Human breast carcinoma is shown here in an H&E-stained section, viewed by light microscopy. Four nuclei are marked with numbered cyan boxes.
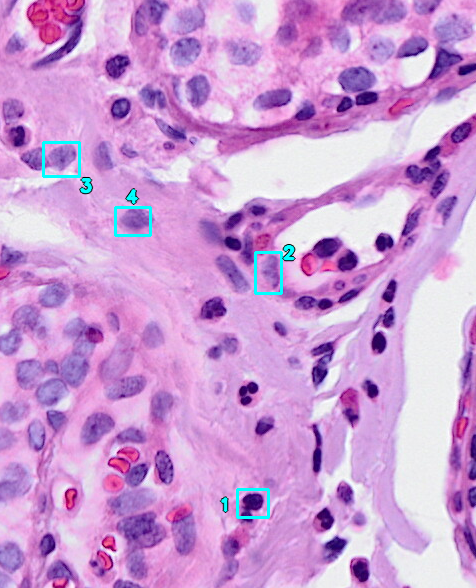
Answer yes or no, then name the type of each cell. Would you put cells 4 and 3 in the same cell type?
Yes, both are fibroblasts.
